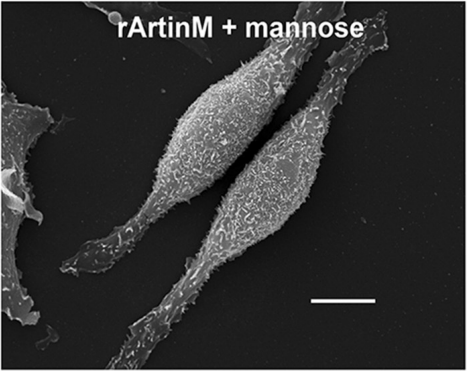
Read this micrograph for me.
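Mast cells seen by scanning electron microscopy are in spindle-shape, with a plump central body tapering into long flattened processes at each end. The surface of the cell body is covered by fine microvilli, many short thin projections, and shows no large folds.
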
